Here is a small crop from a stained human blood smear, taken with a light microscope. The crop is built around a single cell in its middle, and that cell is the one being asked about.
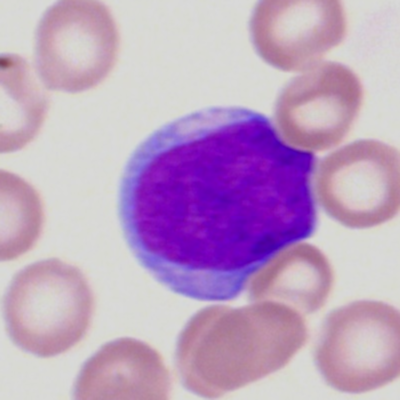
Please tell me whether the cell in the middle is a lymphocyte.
no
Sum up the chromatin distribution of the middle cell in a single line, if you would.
The chromatin is delicate and fine, lacking coarse clumping entirely.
